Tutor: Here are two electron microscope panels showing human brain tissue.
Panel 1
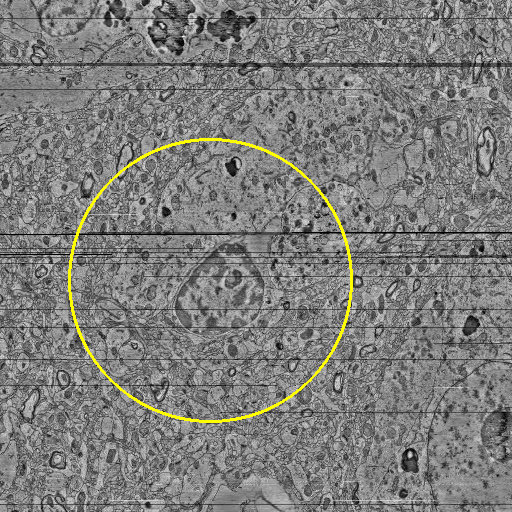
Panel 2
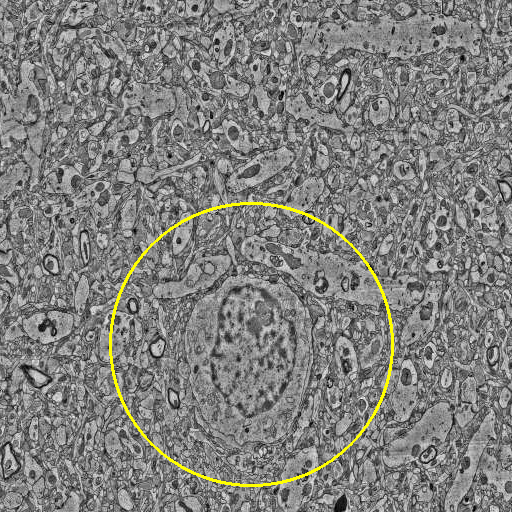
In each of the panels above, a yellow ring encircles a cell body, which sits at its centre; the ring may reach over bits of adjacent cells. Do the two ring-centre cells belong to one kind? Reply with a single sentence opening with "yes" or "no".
No, the two cells sitting at the ring centres in the panels belong to two kinds.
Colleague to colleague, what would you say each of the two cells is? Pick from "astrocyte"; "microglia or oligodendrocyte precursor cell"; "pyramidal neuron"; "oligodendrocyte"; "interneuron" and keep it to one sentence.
The cell in the first picture is a microglial cell or oligodendrocyte precursor cell; the second picture's cell is an interneuron.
